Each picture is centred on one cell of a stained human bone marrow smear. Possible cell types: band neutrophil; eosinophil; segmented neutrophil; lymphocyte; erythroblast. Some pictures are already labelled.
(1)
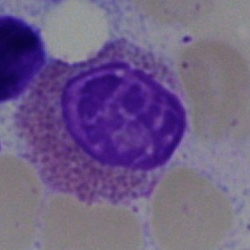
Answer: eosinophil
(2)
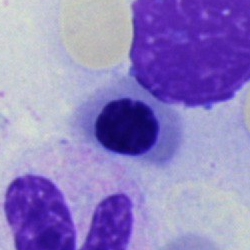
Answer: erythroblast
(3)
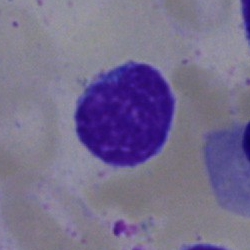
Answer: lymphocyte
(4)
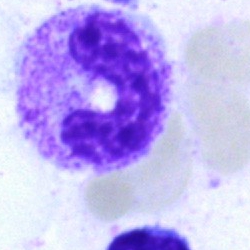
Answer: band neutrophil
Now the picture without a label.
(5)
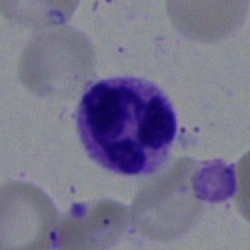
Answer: segmented neutrophil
